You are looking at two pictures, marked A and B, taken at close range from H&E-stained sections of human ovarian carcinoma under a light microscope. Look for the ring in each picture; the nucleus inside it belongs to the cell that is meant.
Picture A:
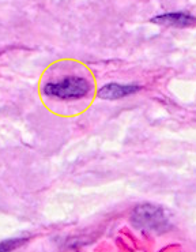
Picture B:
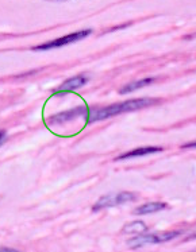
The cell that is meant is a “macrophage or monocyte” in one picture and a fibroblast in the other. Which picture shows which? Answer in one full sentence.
It is picture A that shows a “macrophage or monocyte”, and picture B that shows a fibroblast.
